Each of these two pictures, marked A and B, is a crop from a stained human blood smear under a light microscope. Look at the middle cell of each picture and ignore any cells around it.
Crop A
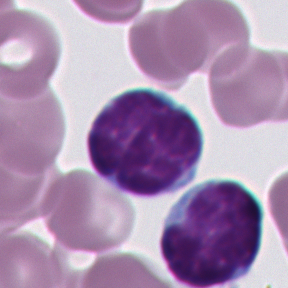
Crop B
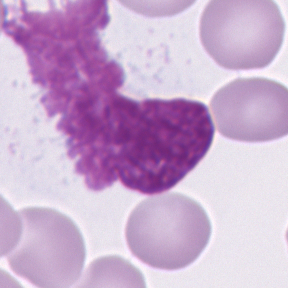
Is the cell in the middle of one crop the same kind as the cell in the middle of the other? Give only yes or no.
no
